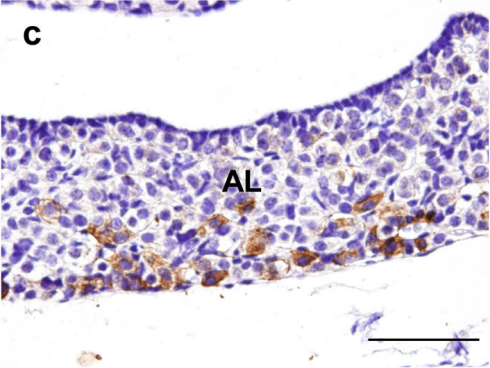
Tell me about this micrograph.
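The anterior lobe of the pituitary gland appears as a dense sheet of closely packed cells with round to oval blue nuclei, bounded above by a thin, darkly stained flattened cell layer facing an empty cleft. Brown-stained cells with granular cytoplasm gather mainly in the deeper part of the lobe, along its lower border, while most cells nearer the upper surface remain unstained.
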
